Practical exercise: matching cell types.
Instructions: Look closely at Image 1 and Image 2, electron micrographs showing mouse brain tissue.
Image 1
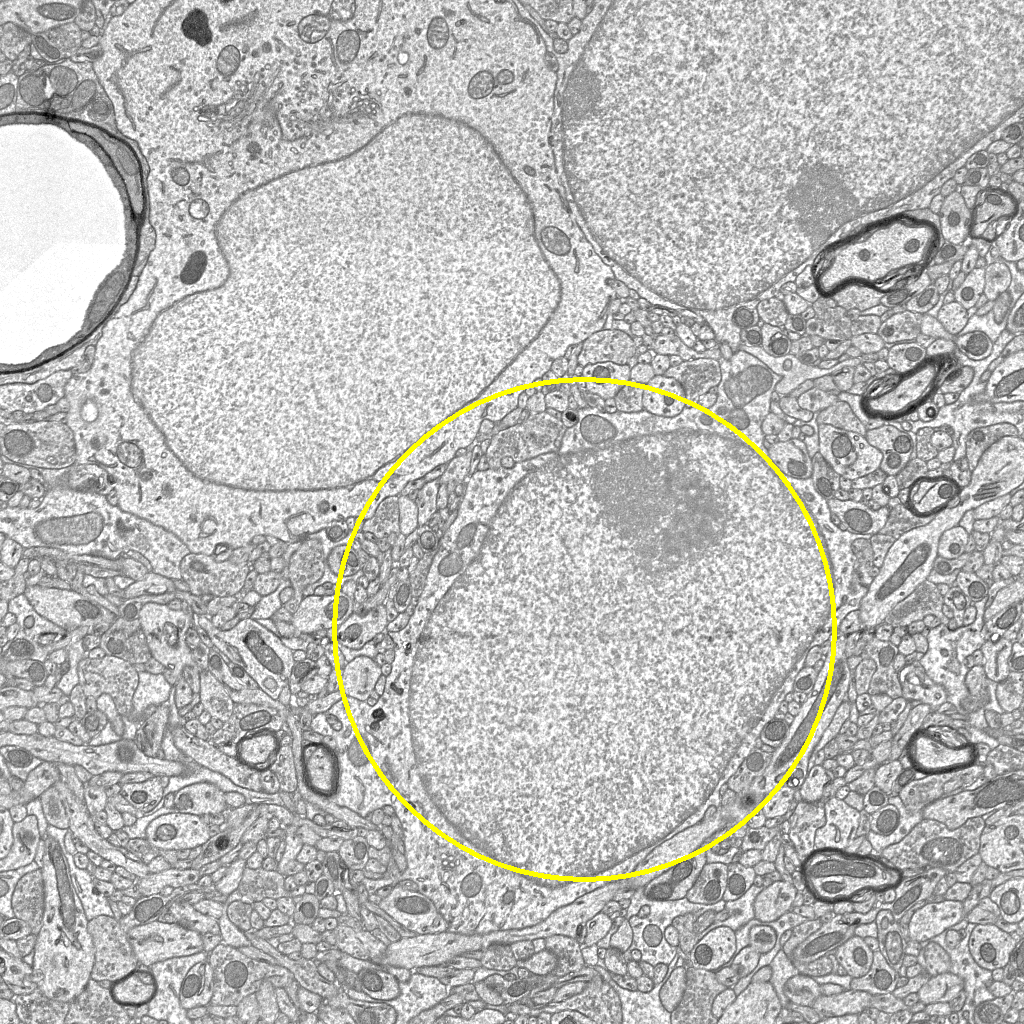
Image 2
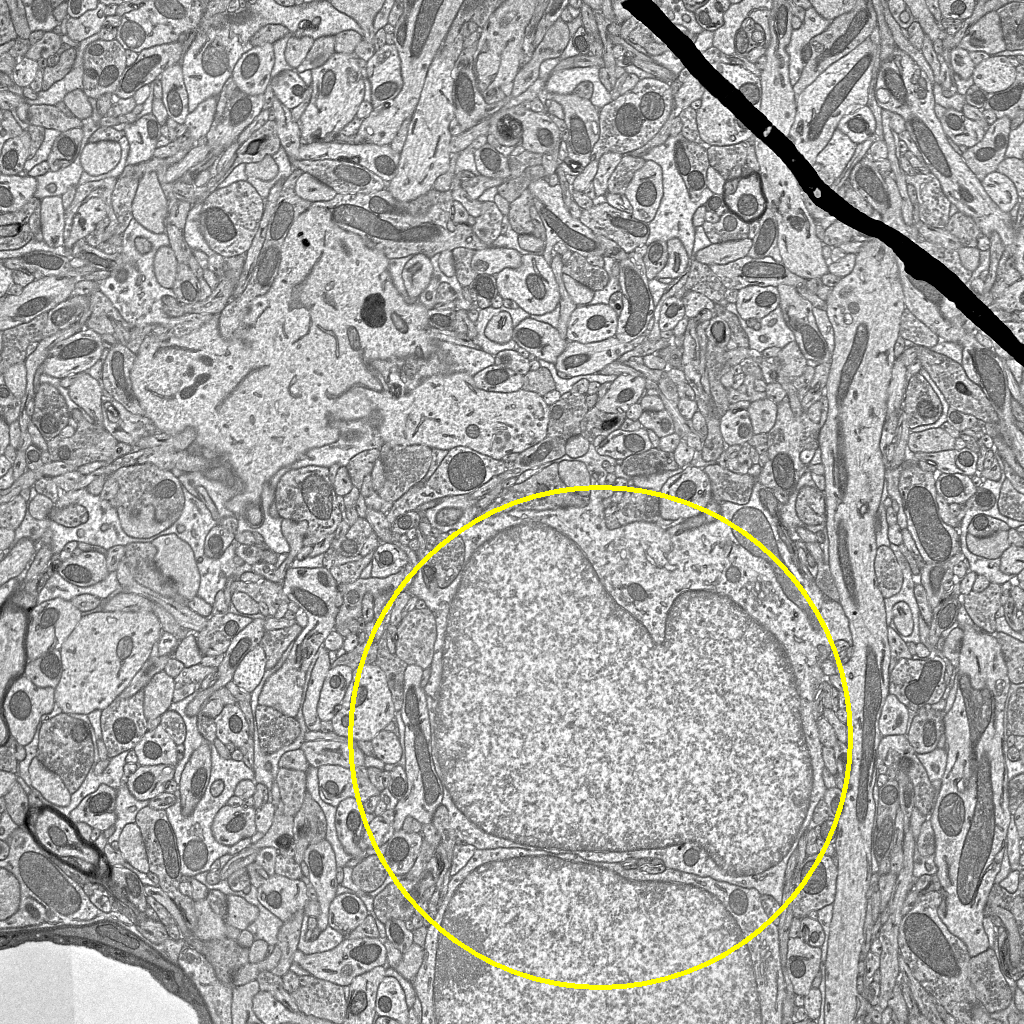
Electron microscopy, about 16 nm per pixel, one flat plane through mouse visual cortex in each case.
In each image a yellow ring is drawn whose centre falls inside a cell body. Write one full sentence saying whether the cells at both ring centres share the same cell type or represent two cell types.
Across Image 1 and Image 2, the cells at the ring centres share the same cell type.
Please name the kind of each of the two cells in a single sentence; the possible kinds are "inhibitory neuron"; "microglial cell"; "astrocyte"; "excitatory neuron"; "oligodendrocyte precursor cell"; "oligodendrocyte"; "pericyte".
Both rings mark an astrocyte, one in each picture.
